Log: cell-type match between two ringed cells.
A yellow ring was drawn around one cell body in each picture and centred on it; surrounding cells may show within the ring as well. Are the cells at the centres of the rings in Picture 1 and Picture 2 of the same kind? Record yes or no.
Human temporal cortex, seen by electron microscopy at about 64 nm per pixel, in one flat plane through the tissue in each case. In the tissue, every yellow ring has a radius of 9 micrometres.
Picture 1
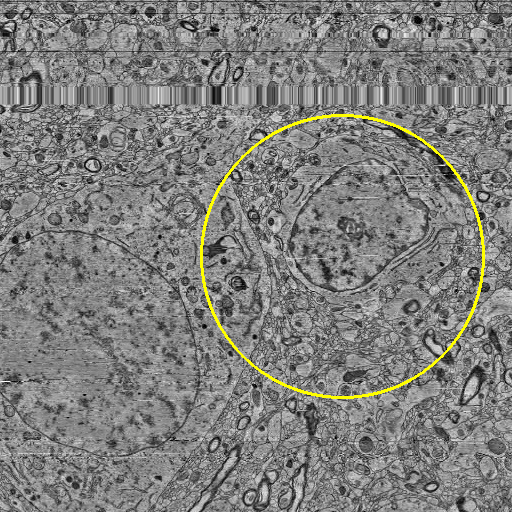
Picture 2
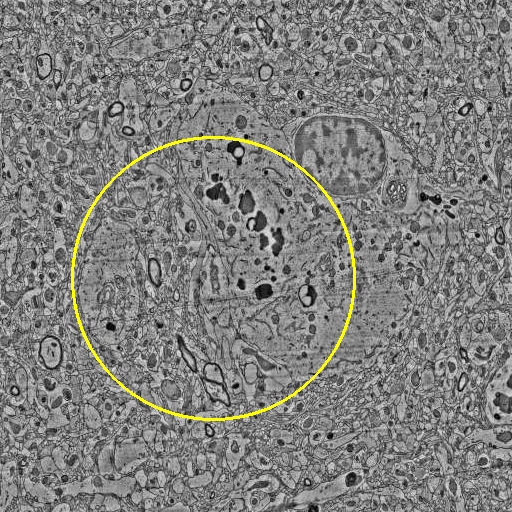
yes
